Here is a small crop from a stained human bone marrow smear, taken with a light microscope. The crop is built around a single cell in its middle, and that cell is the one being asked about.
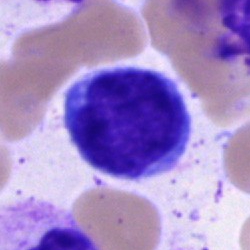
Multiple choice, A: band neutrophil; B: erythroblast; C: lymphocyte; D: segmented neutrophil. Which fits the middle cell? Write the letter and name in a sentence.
Option C is correct in that the central cell is a lymphocyte.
